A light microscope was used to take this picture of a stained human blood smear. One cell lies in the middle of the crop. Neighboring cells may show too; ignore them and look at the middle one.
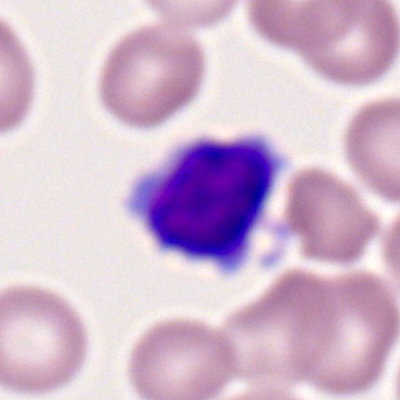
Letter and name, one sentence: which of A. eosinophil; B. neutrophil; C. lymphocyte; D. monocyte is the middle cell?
The cell placed in the middle is a lymphocyte; option C is correct.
